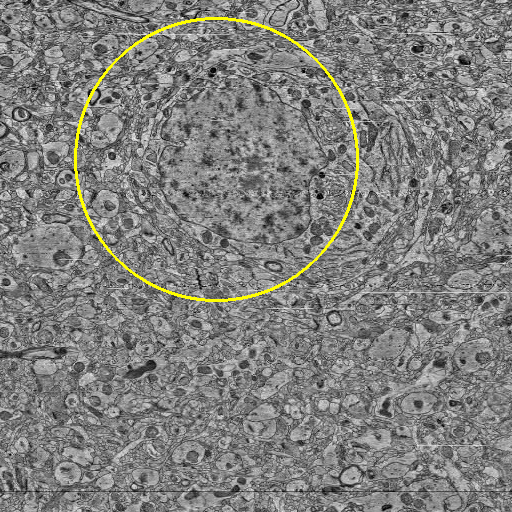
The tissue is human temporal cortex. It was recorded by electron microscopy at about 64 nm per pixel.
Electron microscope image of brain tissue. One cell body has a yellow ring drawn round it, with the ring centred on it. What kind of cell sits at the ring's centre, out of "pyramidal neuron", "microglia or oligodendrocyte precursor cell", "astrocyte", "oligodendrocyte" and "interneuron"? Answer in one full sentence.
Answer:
It is an interneuron whose cell body sits at the centre of the yellow ring.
